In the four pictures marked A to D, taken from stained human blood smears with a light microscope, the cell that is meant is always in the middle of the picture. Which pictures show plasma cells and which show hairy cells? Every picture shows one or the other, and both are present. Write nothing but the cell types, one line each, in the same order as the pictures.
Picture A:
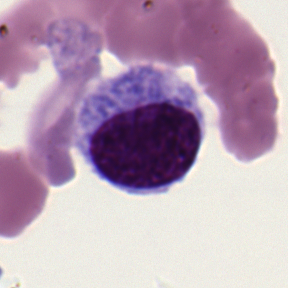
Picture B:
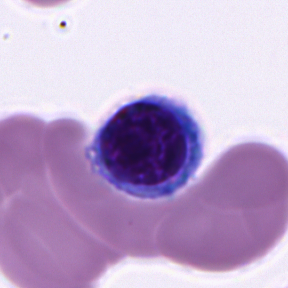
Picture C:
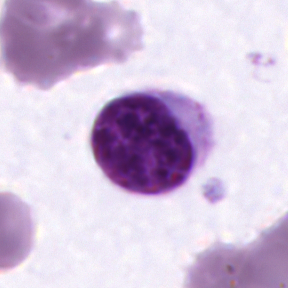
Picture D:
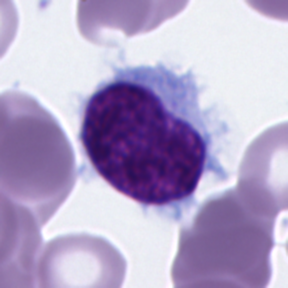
hairy cell
plasma cell
plasma cell
hairy cell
